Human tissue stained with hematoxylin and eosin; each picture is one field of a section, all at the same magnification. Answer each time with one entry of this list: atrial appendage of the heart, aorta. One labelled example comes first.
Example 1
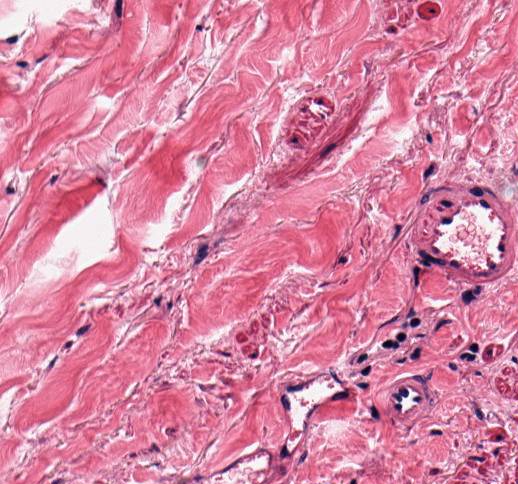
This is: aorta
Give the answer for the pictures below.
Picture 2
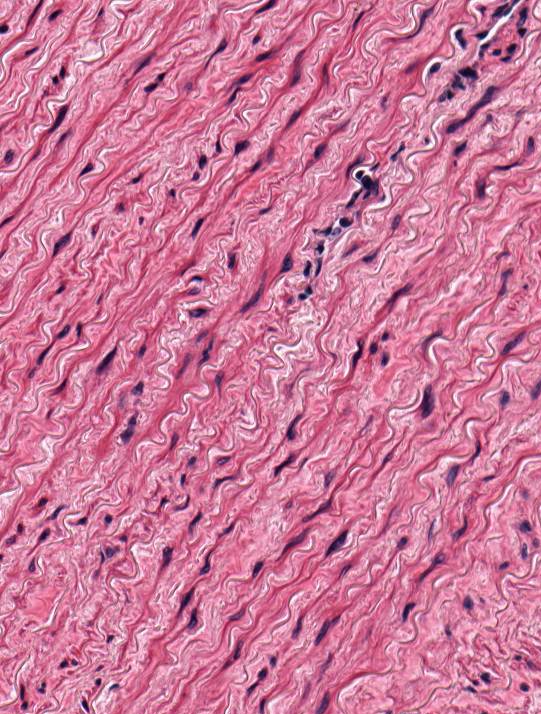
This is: aorta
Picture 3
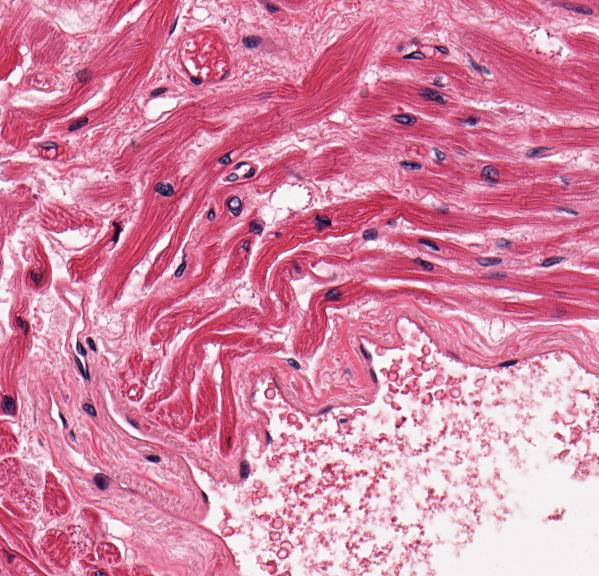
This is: atrial appendage of the heart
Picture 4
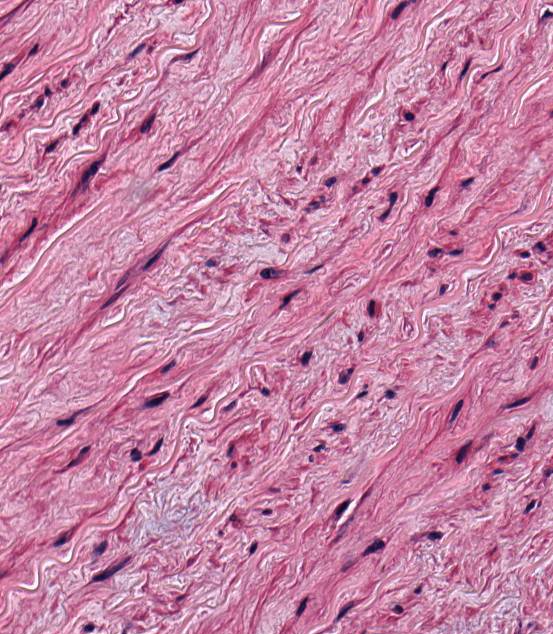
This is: aorta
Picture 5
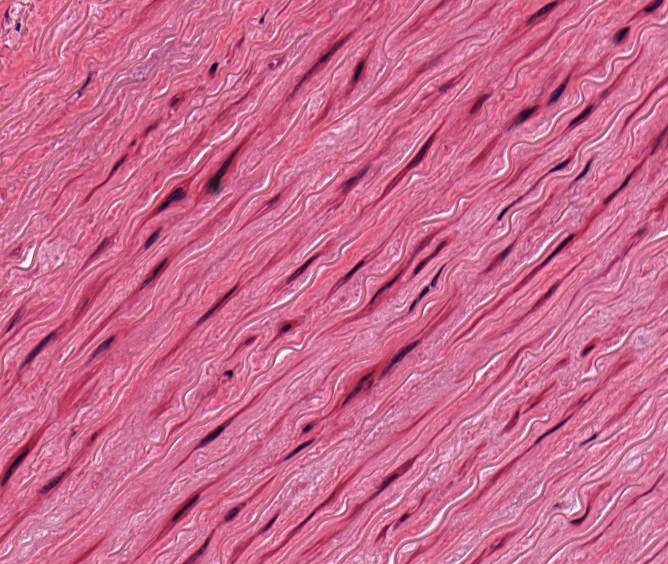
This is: aorta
